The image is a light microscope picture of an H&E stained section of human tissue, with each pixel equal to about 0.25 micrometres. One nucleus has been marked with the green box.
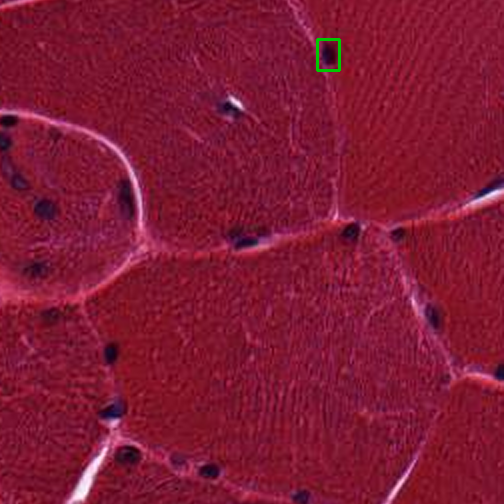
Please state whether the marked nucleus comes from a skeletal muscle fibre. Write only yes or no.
yes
